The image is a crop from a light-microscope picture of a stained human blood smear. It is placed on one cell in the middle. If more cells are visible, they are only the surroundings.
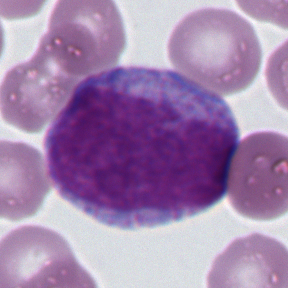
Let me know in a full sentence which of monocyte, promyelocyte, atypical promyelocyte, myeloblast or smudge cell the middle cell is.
In the centre of this crop there is a promyelocyte.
